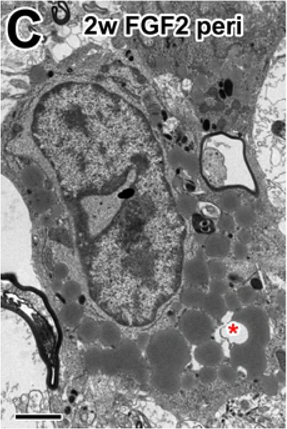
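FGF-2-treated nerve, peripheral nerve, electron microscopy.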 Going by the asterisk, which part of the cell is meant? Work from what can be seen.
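Many round, homogeneous, medium-grey droplets fill the cytoplasm. The droplets lack internal membranes or structure.
Hence: lipid inclusions.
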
